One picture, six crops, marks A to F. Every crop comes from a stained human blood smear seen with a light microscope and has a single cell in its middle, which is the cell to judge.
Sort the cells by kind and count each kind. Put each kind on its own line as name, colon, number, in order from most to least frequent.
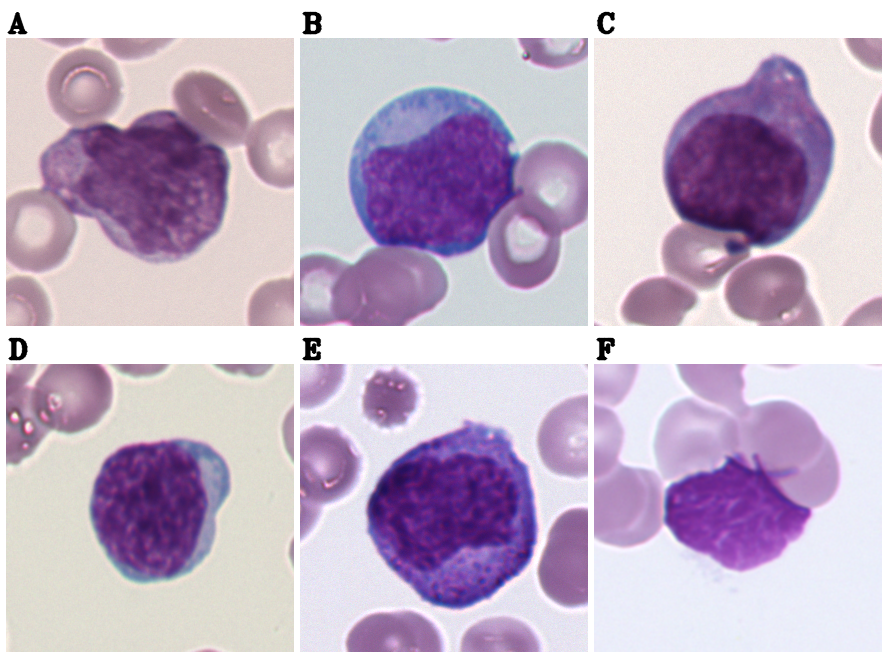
atypical promyelocyte: 3
myeloblast: 2
smudge cell: 1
